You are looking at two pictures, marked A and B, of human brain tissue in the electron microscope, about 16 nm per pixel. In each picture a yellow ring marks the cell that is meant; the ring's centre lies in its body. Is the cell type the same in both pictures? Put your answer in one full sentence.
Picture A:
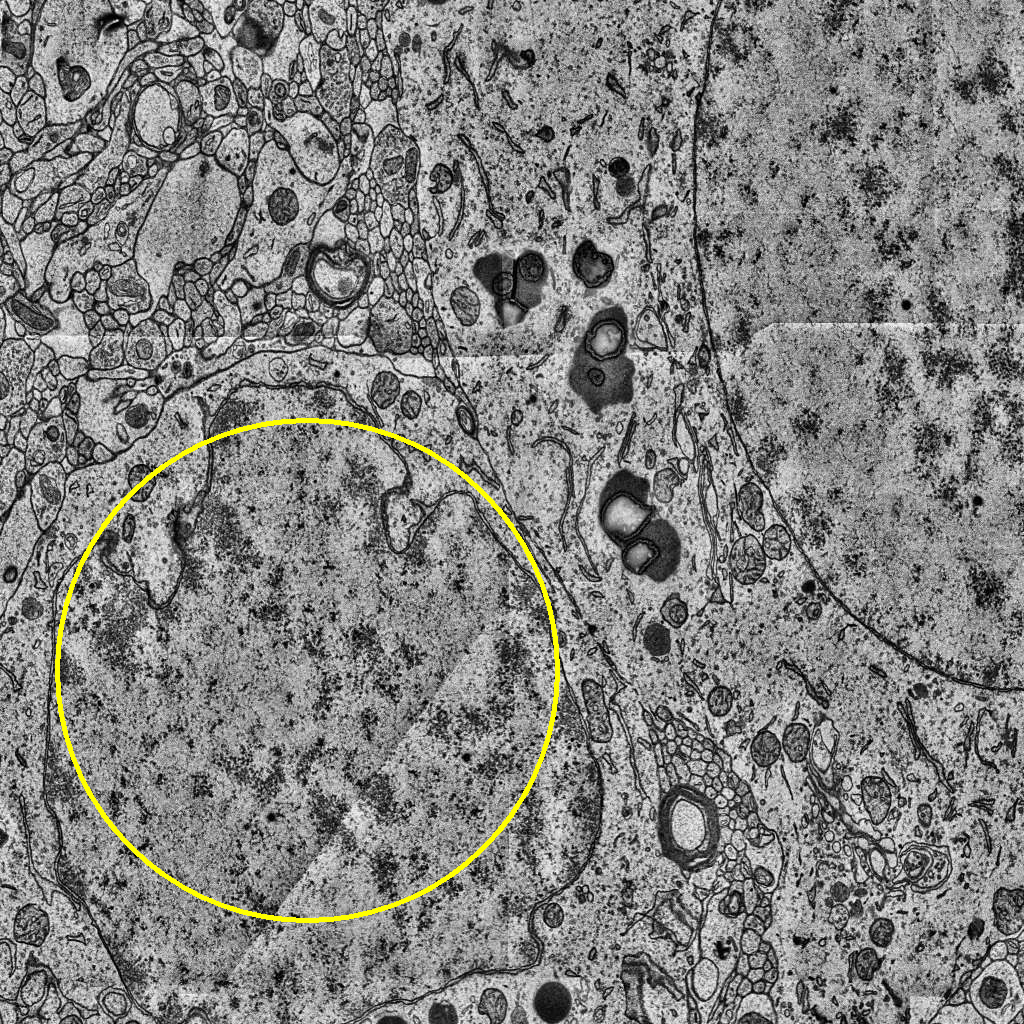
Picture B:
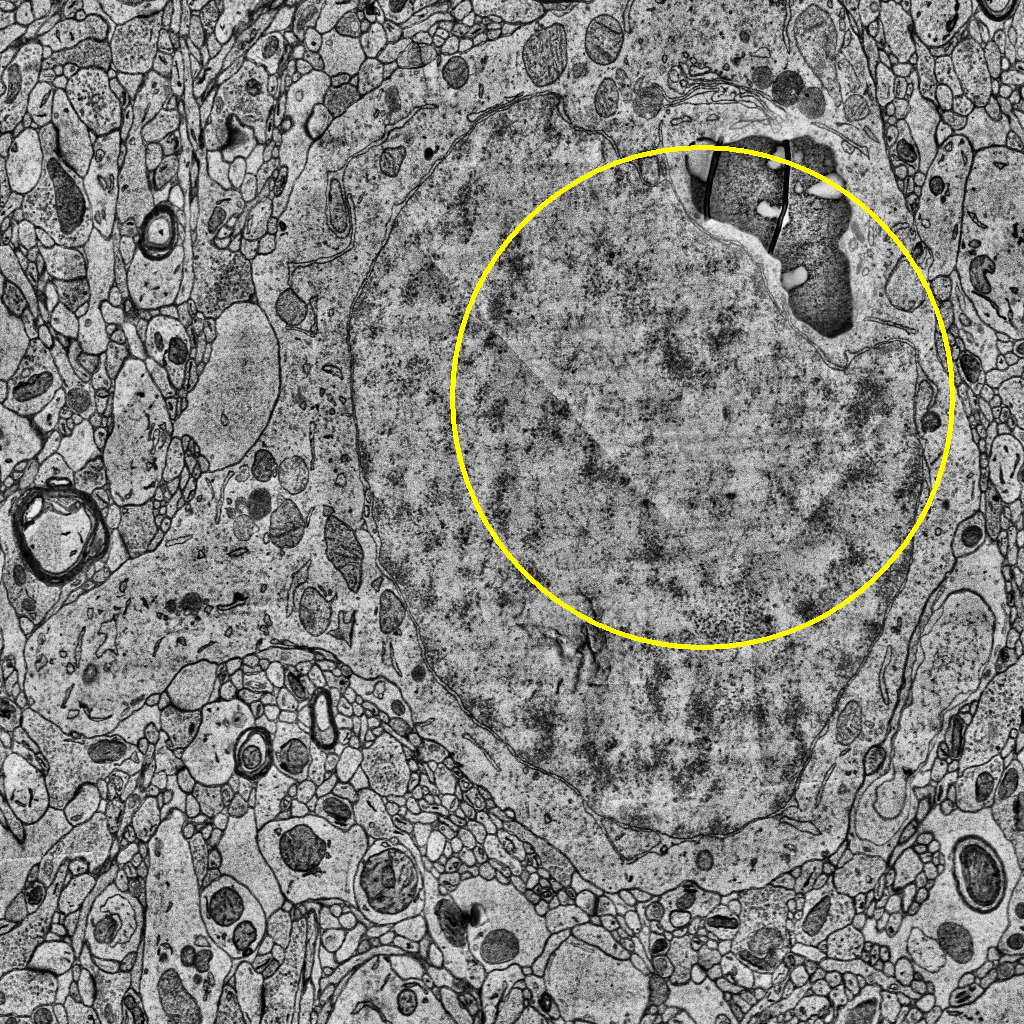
Yes, they are the same type: both are interneurons.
